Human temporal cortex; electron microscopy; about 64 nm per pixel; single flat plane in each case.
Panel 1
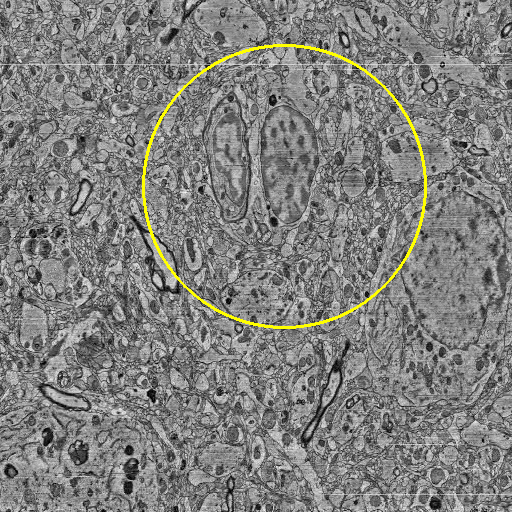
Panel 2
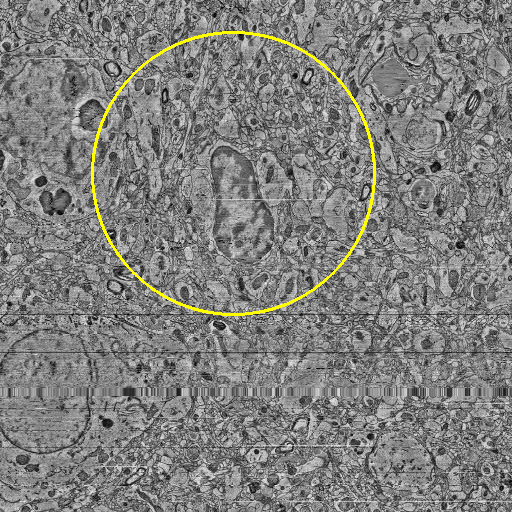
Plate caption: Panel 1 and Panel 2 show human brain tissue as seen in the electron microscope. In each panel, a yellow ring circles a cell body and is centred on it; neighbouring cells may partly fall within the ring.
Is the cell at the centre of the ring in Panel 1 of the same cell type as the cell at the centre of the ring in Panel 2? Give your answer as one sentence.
Yes, the two cells are of the same type.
